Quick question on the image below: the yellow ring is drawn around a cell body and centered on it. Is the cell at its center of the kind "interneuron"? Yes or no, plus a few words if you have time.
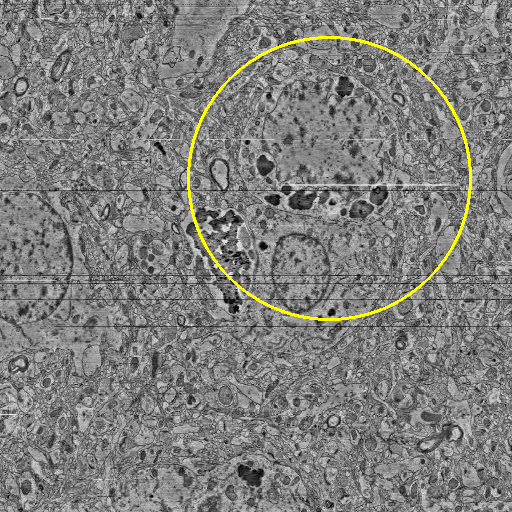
Yes, the cell at the center is of that kind.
